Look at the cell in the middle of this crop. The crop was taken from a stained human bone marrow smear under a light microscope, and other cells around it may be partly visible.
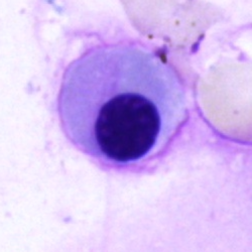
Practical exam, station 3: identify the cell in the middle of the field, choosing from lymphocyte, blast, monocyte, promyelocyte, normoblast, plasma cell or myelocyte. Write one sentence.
The cell nearest the centre of this crop is a normoblast.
